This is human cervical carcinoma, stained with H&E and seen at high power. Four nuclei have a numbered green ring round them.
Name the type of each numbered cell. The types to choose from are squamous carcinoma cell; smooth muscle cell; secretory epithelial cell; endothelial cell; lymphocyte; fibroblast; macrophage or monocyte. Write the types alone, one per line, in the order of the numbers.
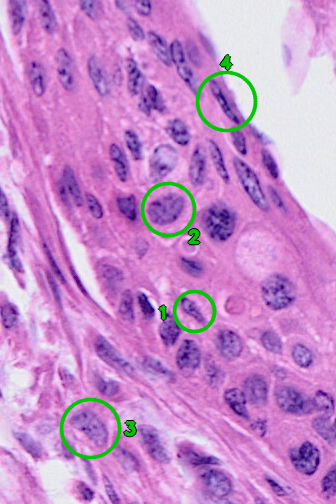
squamous carcinoma cell
squamous carcinoma cell
endothelial cell
squamous carcinoma cell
